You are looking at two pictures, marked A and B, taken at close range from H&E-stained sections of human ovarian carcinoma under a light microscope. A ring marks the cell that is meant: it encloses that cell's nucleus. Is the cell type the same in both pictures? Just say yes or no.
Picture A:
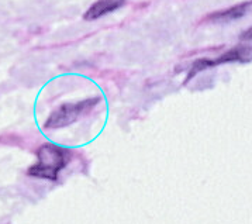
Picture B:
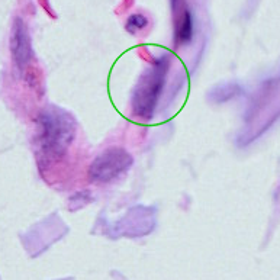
no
